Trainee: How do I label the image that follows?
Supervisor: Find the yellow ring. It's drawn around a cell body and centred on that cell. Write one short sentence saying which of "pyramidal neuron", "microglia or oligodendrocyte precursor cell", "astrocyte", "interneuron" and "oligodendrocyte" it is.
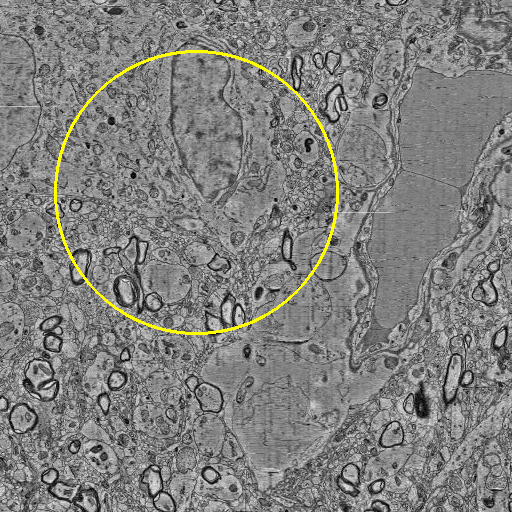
This is the cell body of a microglial cell or oligodendrocyte precursor cell.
